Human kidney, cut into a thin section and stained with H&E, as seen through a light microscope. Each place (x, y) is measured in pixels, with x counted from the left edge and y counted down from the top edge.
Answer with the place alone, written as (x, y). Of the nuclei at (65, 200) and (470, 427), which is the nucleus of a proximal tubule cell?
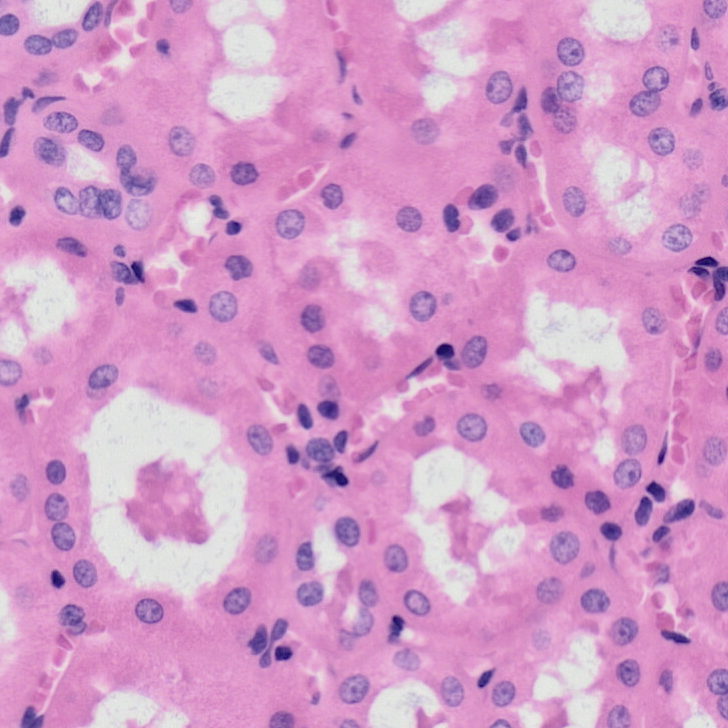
(470, 427)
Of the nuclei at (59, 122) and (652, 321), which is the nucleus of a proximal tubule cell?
(652, 321)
